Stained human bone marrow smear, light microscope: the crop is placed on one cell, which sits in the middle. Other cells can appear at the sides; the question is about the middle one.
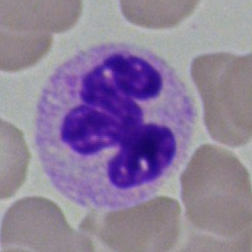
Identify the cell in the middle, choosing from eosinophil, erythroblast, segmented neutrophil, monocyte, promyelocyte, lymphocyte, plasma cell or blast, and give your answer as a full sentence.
At the crop's centre, the cell is a segmented neutrophil.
